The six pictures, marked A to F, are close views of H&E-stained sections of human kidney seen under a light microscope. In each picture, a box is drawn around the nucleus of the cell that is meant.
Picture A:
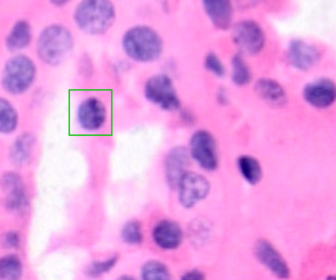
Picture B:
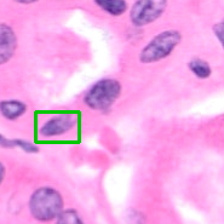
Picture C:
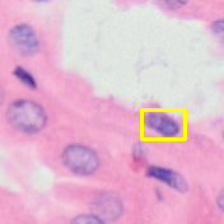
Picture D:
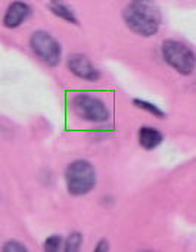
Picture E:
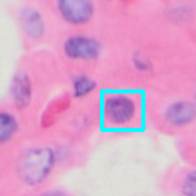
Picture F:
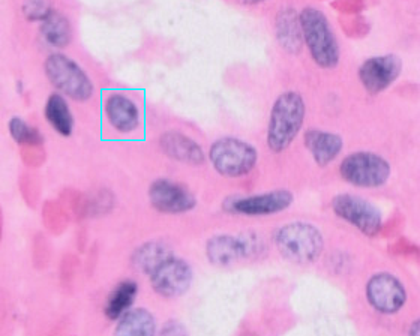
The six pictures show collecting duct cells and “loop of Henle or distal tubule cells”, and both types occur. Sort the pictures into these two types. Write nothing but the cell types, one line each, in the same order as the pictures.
collecting duct cell
collecting duct cell
loop of Henle or distal tubule cell
collecting duct cell
loop of Henle or distal tubule cell
collecting duct cell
